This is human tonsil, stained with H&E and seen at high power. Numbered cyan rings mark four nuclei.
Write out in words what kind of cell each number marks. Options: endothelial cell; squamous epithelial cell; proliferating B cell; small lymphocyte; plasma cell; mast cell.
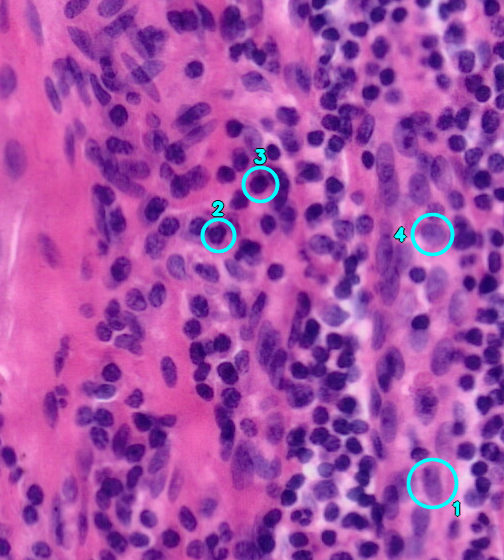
Cell 1 is an endothelial cell, cell 2 is a plasma cell, cell 3 is a plasma cell and cell 4 is an endothelial cell.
